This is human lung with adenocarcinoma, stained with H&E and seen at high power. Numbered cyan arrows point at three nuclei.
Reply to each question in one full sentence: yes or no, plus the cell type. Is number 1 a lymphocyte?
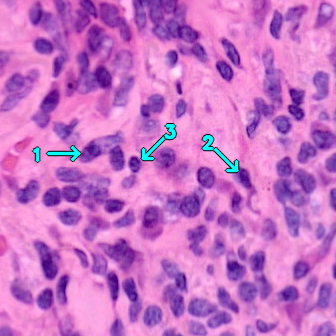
Yes, it is a lymphocyte that carries the number 1.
